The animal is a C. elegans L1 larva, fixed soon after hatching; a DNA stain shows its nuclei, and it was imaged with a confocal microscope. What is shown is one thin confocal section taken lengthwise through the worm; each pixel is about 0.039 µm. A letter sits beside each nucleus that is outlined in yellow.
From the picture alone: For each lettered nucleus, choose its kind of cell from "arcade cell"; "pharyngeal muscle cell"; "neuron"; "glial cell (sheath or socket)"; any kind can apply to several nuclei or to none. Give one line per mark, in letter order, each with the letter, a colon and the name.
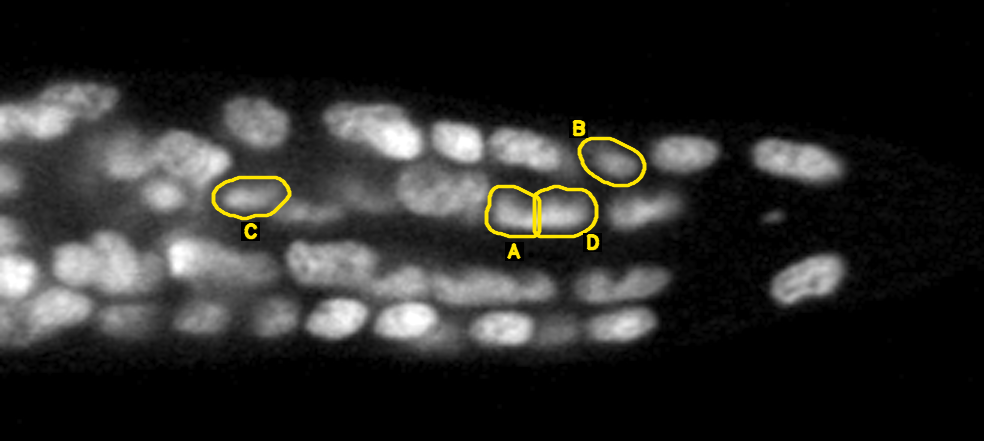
A: pharyngeal muscle cell
B: arcade cell
C: neuron
D: pharyngeal muscle cell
